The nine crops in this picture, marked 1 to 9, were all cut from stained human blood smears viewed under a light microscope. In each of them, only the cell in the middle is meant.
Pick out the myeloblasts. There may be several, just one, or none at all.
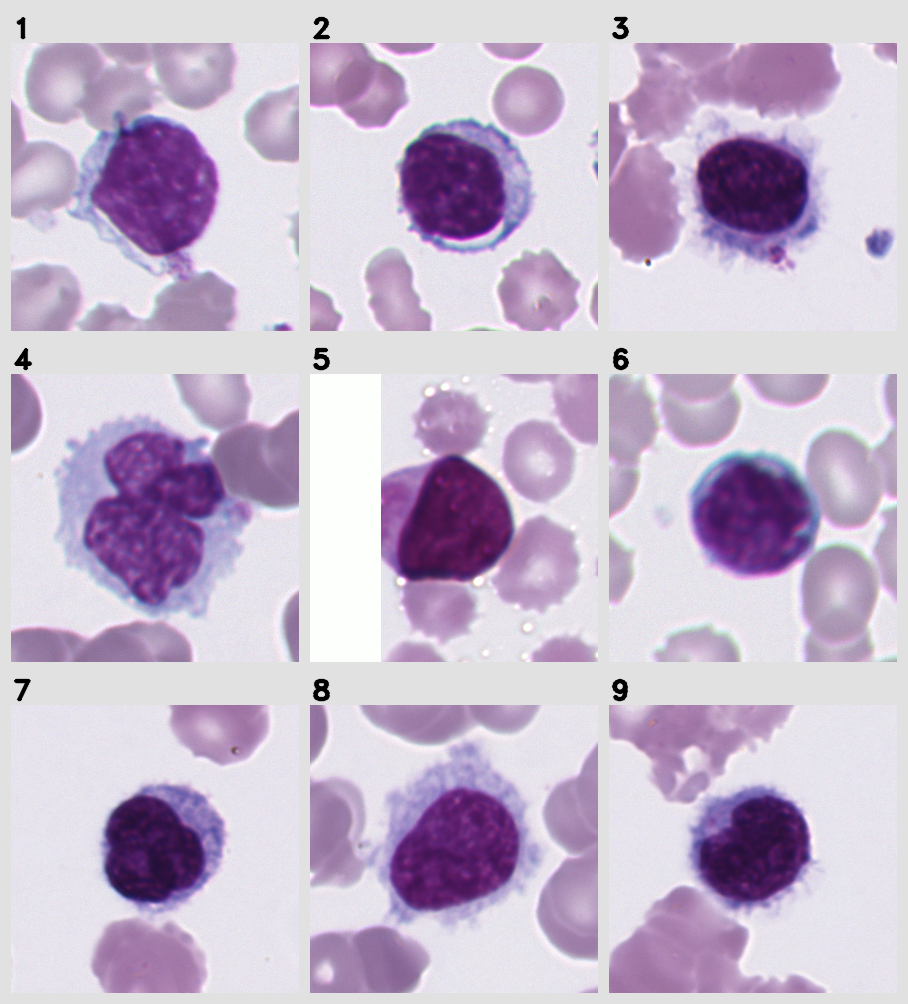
5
